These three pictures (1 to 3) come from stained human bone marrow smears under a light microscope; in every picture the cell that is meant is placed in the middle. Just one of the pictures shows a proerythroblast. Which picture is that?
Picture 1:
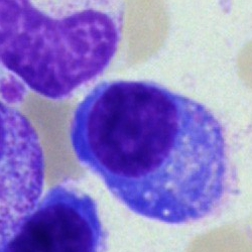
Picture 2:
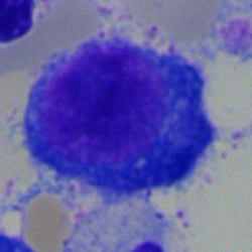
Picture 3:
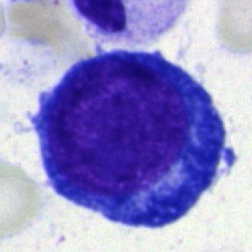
3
